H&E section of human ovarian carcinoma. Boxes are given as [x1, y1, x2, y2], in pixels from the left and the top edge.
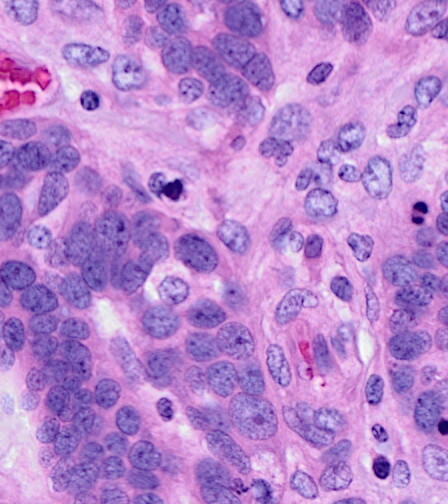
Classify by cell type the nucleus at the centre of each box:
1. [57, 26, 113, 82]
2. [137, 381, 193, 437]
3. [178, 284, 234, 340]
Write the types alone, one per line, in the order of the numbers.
fibroblast
lymphocyte
carcinoma cell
